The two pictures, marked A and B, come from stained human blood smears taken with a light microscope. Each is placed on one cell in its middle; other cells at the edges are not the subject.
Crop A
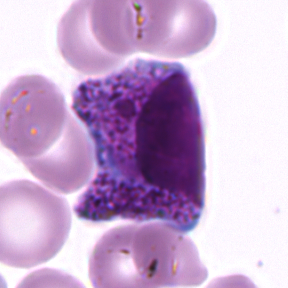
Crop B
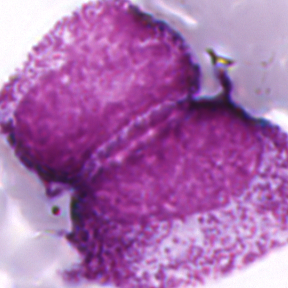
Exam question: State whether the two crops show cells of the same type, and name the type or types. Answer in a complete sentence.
No, a promyelocyte and a myelocyte are found in crop A and crop B, respectively.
